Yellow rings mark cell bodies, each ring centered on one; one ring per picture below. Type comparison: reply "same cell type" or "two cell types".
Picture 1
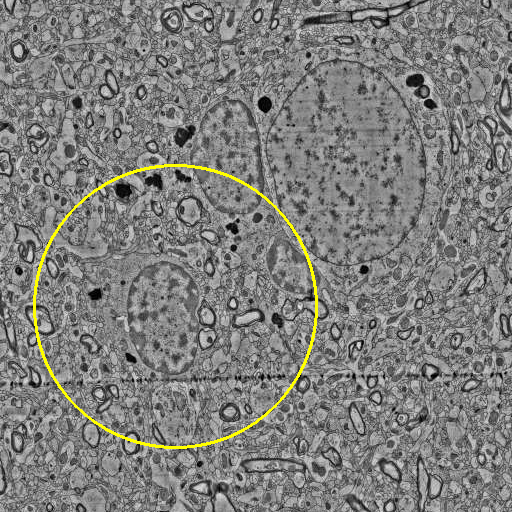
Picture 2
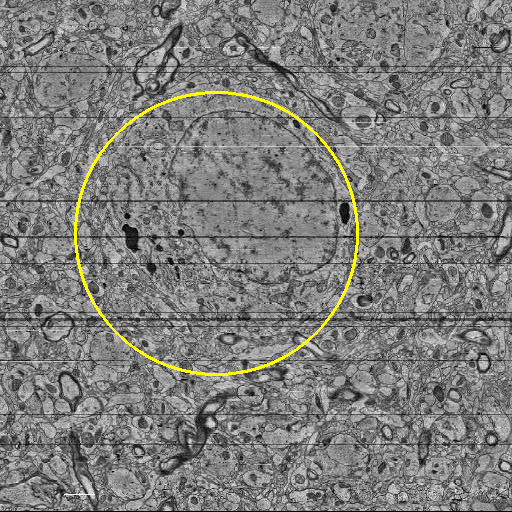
two cell types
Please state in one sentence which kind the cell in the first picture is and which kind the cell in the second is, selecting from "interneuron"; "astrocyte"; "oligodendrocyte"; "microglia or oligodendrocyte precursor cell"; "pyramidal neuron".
The first ringed cell is an oligodendrocyte, the second ringed cell a pyramidal neuron.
